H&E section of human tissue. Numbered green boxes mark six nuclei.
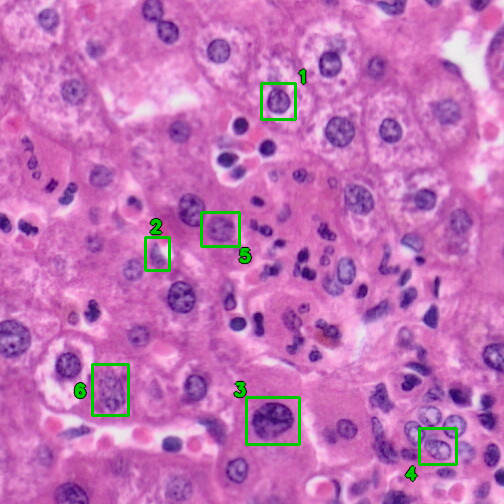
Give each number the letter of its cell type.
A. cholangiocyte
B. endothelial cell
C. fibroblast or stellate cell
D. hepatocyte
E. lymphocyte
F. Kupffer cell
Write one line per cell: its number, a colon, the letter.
1: D
2: B
3: D
4: A
5: D
6: D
